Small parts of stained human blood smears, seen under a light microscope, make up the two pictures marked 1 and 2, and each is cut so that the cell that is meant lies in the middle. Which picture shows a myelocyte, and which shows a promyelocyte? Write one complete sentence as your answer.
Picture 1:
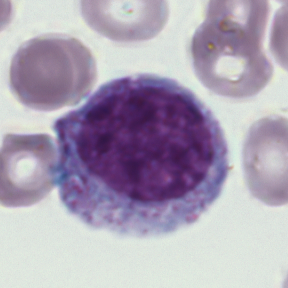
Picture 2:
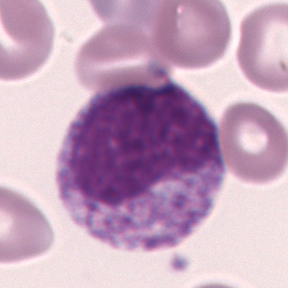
Picture 2 shows a myelocyte, while picture 1 shows a promyelocyte.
